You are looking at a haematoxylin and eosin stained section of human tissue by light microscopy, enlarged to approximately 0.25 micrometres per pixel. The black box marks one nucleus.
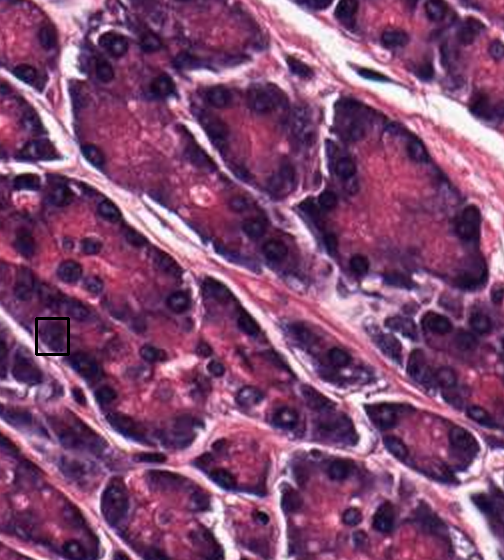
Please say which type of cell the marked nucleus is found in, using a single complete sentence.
The marked nucleus belongs to a pancreatic acinar cell.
